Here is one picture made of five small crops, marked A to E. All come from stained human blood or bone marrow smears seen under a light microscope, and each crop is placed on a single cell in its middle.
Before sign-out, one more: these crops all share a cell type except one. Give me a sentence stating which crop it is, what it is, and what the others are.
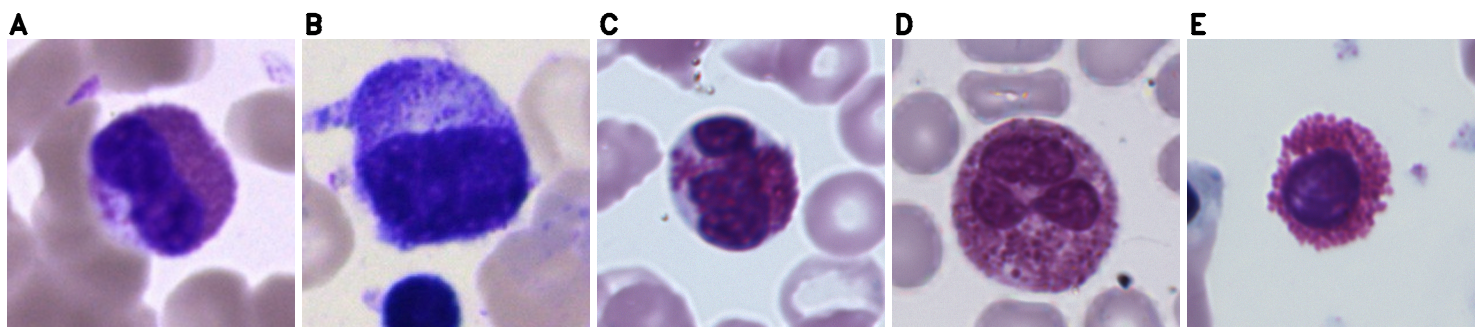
Here the outlier is crop B, which is a promyelocyte, and the rest are eosinophils.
